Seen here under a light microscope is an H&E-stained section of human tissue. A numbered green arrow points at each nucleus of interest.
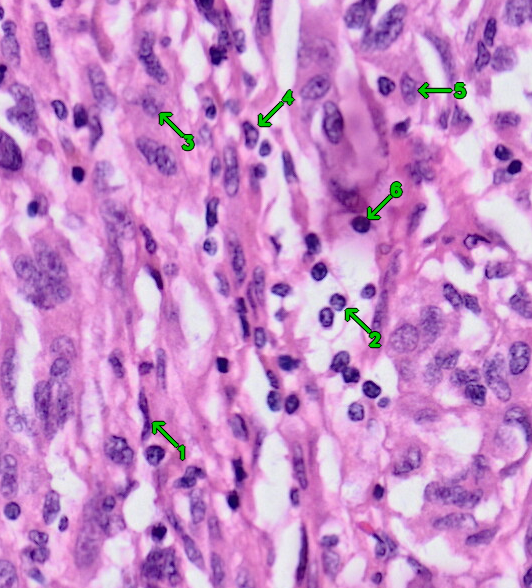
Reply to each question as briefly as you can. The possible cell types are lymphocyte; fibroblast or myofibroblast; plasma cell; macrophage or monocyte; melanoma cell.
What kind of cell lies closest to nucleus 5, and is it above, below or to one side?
a lymphocyte to the left of nucleus 5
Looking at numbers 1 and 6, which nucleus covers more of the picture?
1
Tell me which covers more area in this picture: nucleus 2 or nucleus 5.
5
